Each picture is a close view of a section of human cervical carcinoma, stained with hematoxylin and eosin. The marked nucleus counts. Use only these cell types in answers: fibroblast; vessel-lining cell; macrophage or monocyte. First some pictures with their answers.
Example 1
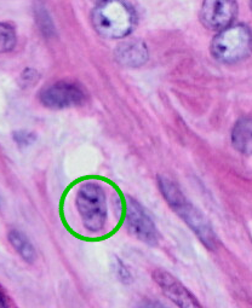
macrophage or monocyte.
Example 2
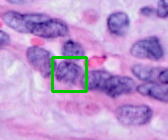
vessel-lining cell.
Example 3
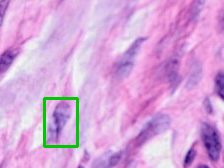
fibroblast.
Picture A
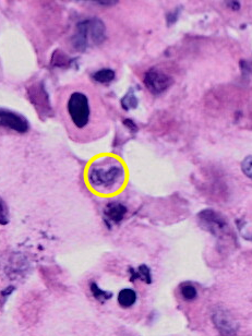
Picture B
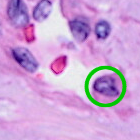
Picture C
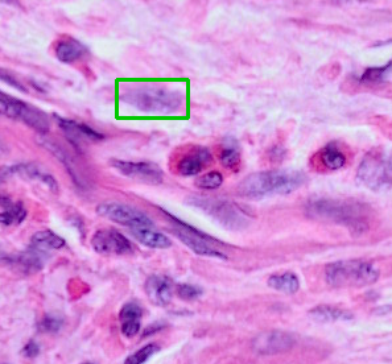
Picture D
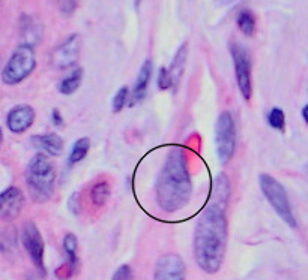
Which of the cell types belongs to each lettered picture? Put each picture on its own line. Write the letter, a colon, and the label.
A: macrophage or monocyte.
B: vessel-lining cell.
C: fibroblast.
D: vessel-lining cell.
